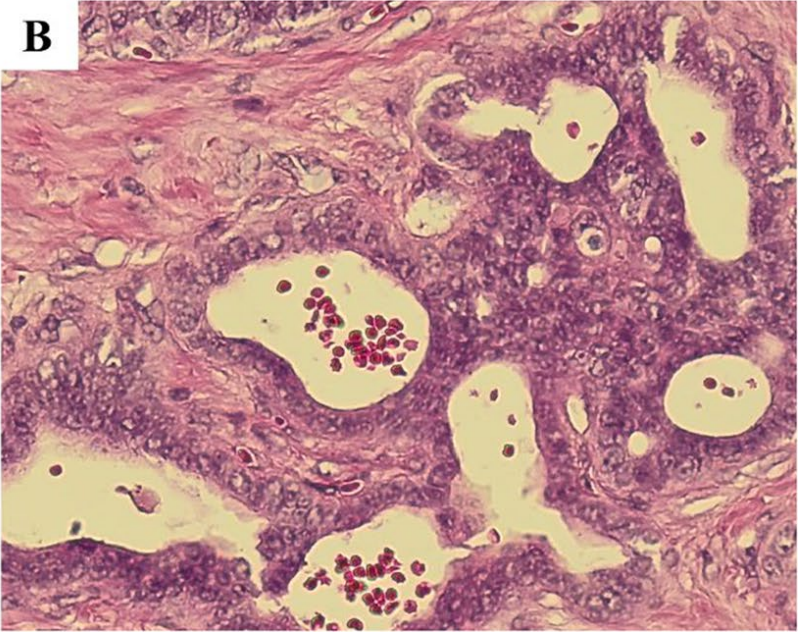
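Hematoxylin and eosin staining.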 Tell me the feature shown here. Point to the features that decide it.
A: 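Dilated tubular glands. Several open, irregular lumina are lined by epithelial cells. Some lumina contain red blood cells. Lumina vary in size and shape.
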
